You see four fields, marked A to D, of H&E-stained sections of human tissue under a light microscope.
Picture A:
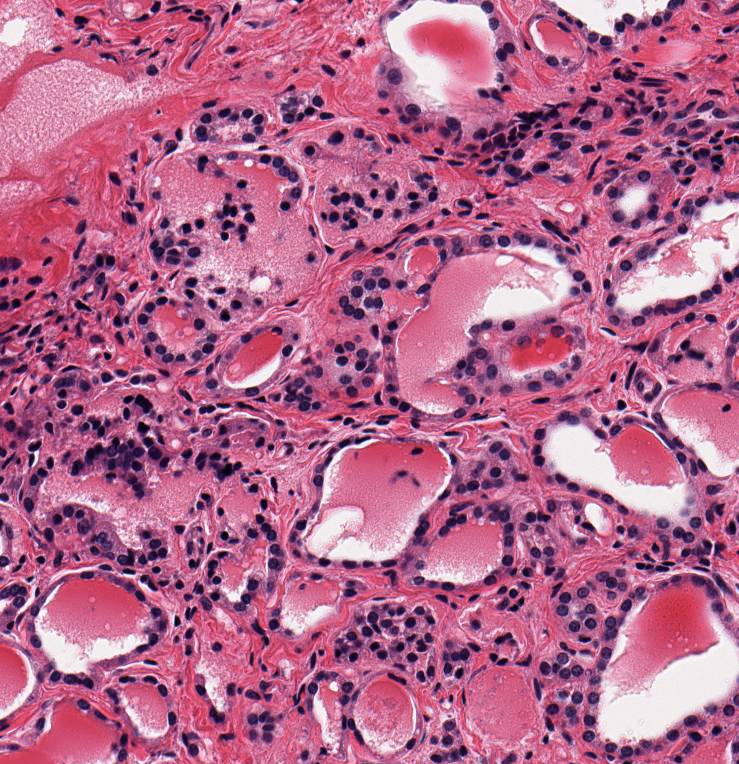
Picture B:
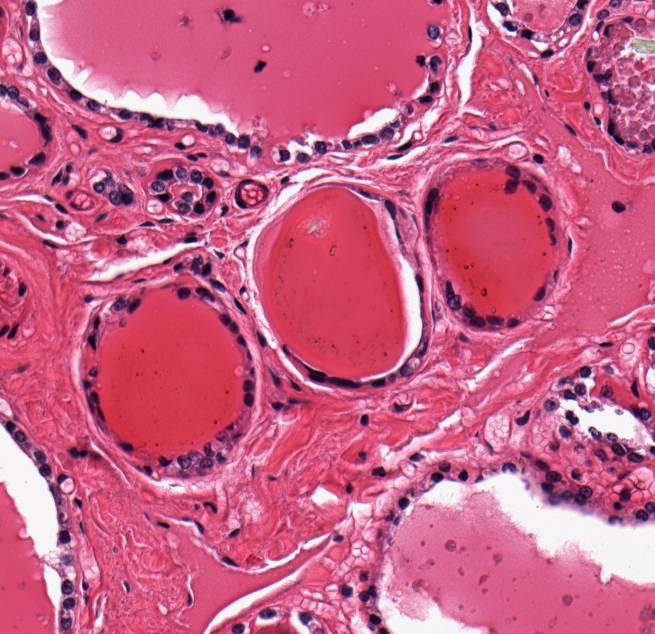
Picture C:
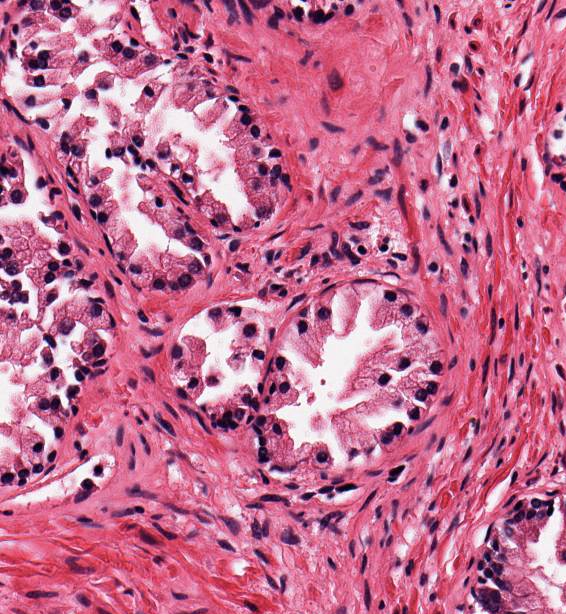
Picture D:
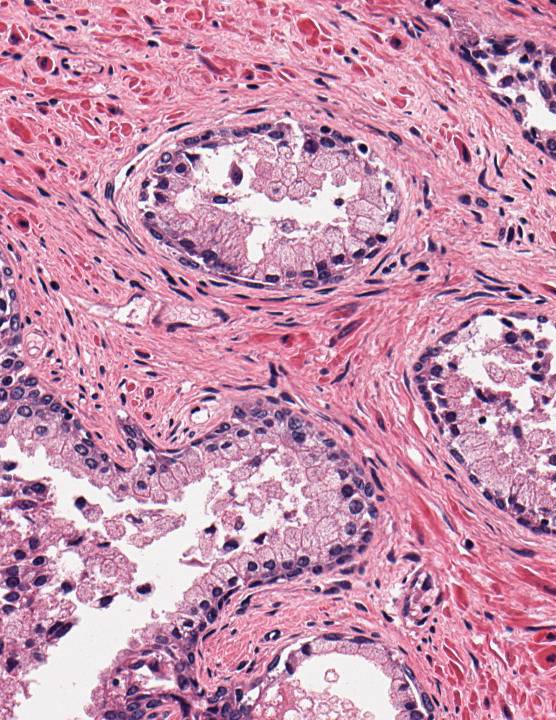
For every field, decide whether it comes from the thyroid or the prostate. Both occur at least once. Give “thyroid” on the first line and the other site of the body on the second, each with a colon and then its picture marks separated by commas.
thyroid: A, B
prostate: C, D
